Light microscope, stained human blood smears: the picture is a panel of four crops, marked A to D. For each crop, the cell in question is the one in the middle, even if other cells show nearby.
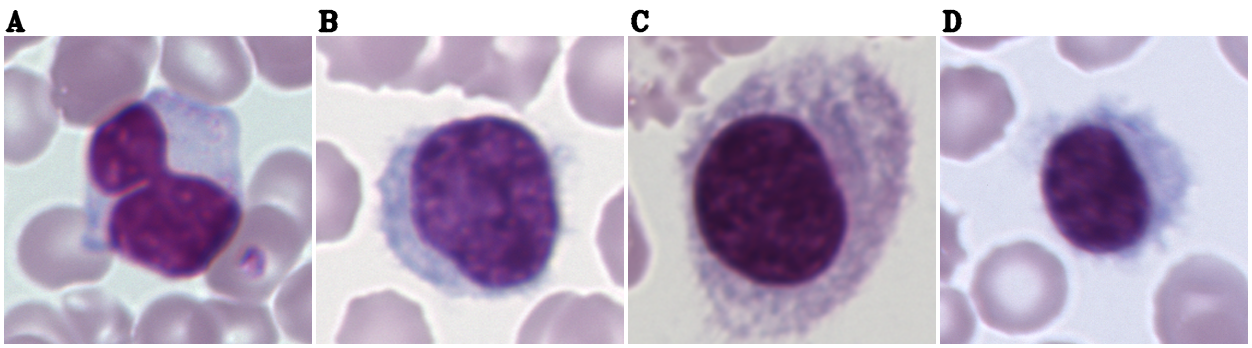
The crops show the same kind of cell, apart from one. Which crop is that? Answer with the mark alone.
A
